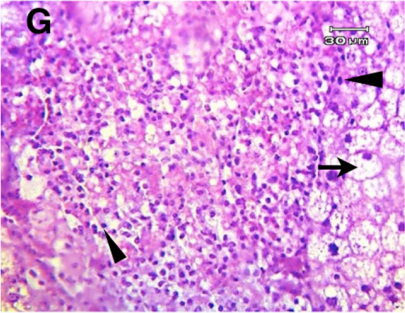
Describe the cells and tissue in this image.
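Liver tissue in which hepatocytes are widely distorted by fat accumulation. Many hepatocytes, especially on the right, have pale, foamy cytoplasm filled with clear vacuoles, while the normal cord arrangement is lost. Numerous small, dark, condensed nuclei are scattered densely among the cells, giving the centre a crowded, purple appearance. Pink, more solid cytoplasm remains in patches at the lower left.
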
